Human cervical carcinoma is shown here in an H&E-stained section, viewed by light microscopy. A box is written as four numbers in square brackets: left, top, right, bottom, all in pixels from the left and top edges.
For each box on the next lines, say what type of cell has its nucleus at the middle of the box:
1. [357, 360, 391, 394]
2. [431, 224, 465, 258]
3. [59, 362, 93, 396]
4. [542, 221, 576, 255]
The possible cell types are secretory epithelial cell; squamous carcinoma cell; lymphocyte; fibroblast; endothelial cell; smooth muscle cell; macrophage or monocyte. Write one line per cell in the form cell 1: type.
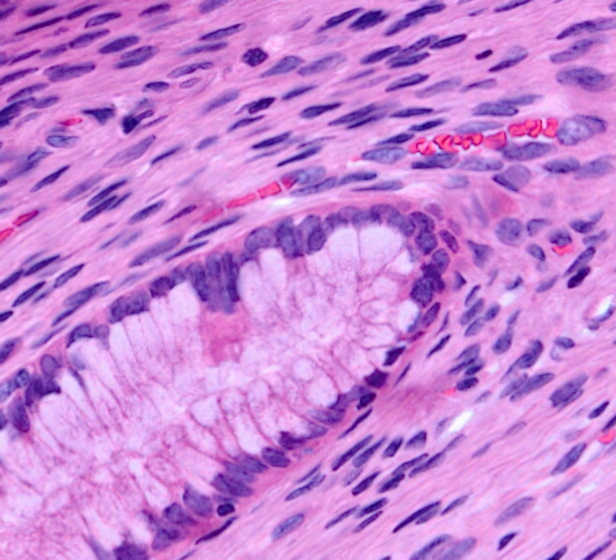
cell 1: secretory epithelial cell
cell 2: secretory epithelial cell
cell 3: secretory epithelial cell
cell 4: endothelial cell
